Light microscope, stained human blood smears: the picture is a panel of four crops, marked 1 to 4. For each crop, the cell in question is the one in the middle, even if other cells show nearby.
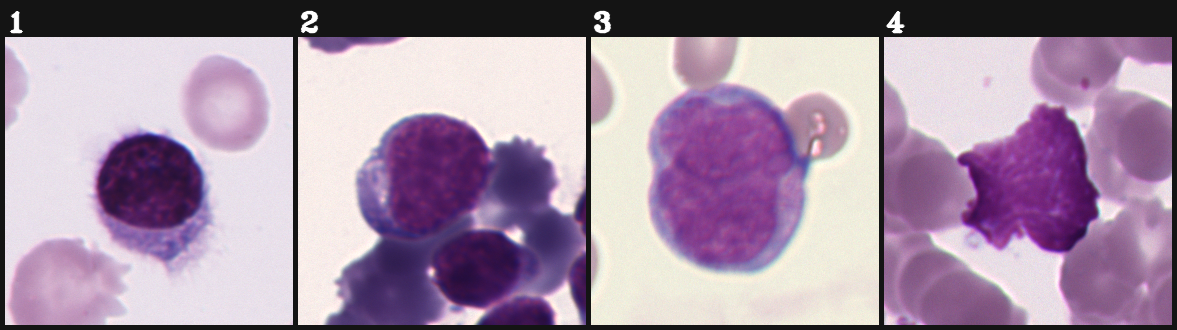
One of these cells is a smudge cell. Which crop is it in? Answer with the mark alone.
4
